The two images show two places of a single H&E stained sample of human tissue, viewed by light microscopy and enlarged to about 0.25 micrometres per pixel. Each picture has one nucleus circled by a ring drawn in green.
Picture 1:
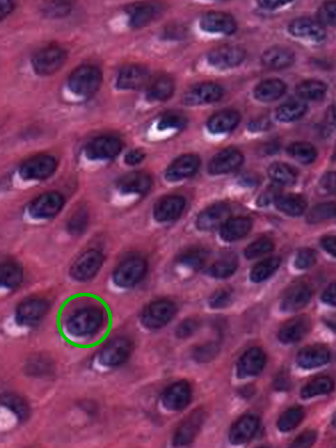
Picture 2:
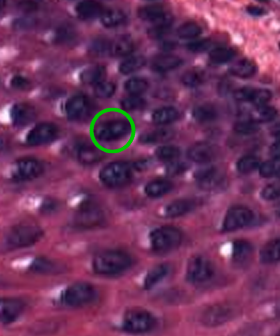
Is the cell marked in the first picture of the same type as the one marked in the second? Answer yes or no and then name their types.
Yes, both are squamous epithelial cells.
